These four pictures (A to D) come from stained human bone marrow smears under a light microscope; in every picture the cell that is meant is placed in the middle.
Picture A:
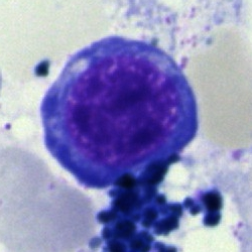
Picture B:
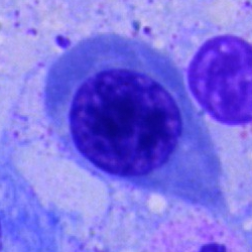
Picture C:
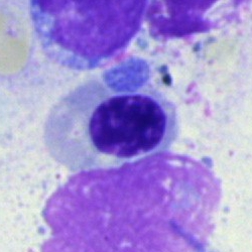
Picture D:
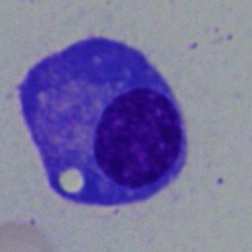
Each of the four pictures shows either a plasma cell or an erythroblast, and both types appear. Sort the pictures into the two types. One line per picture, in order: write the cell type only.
erythroblast
erythroblast
erythroblast
plasma cell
